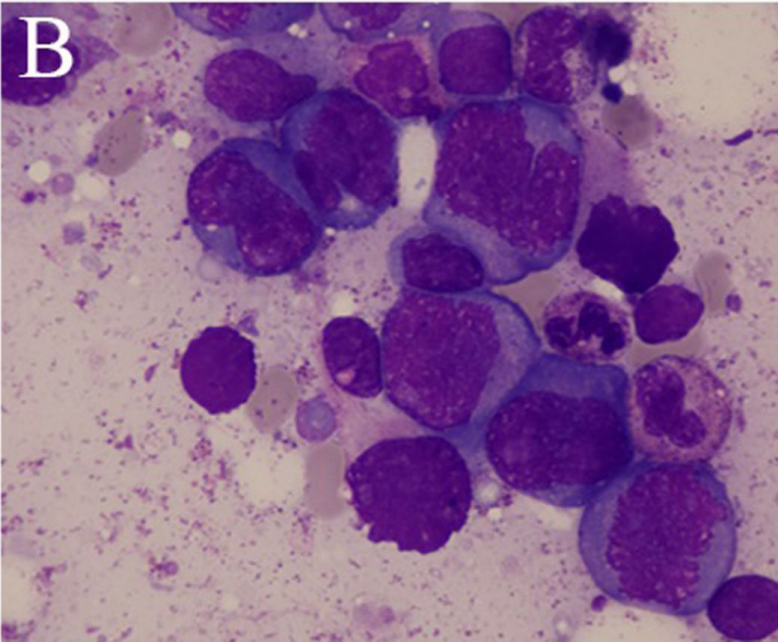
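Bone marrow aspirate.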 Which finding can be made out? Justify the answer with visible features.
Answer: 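Bizarre or separated nuclei. Large cells have nuclei with irregular, notched or lobed outlines. One large cell near the top shows a nucleus split by a cleft into separate parts. Nuclei differ widely in size and shape between neighbouring cells.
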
